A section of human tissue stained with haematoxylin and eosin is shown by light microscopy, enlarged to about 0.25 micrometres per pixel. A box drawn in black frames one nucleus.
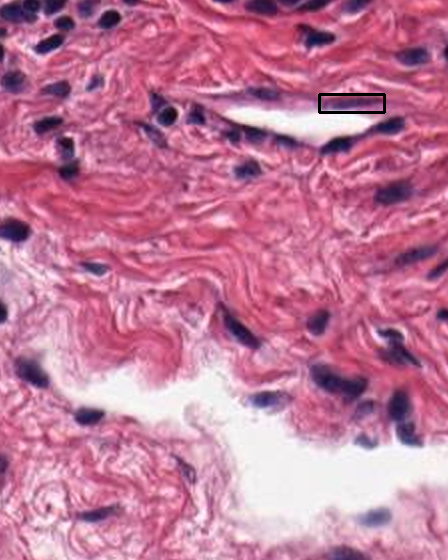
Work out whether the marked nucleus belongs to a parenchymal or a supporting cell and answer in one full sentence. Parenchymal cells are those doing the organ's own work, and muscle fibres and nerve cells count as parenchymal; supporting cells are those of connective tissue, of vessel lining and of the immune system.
What the marked nucleus belongs to is a supporting cell.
